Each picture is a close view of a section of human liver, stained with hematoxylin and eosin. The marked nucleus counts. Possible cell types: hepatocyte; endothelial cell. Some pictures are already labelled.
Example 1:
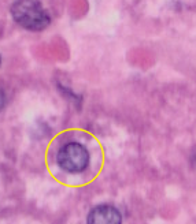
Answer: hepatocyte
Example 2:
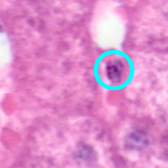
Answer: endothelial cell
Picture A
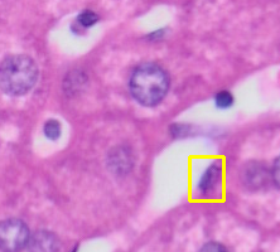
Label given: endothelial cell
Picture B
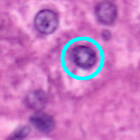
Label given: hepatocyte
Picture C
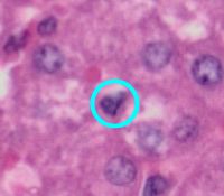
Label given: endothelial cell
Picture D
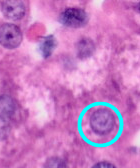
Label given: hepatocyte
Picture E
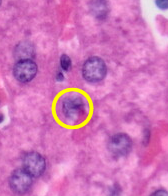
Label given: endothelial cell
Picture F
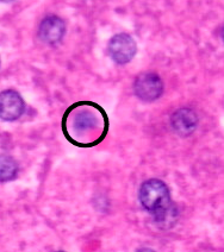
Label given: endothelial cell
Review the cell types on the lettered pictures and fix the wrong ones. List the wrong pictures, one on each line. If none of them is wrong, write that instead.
No label is wrong.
